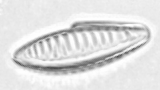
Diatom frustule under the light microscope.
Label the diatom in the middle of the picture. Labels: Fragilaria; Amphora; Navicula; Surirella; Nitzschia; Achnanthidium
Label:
Nitzschia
